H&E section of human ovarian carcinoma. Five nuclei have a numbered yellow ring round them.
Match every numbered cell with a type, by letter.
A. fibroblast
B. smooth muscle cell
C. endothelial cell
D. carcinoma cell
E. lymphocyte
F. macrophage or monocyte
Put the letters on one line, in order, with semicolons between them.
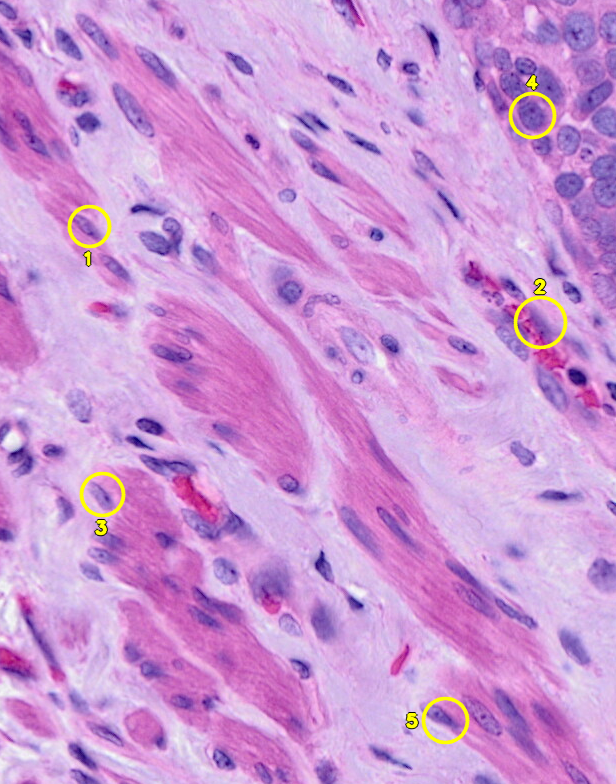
B; C; B; D; B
